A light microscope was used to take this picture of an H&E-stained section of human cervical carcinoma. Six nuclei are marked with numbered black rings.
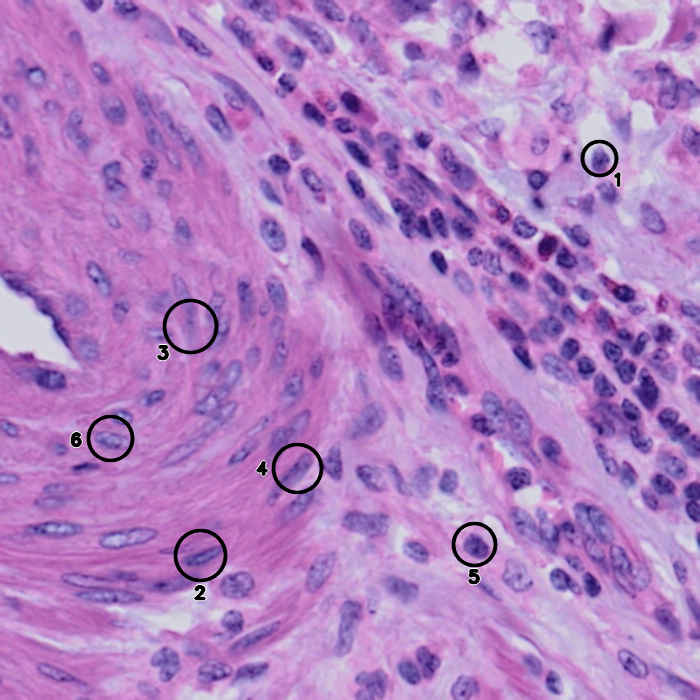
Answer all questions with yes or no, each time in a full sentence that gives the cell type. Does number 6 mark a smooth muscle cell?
Yes, the cell that the number 6 labels is a smooth muscle cell.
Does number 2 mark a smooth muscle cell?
Yes, it checks out; the cell labelled 2 is a smooth muscle cell.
